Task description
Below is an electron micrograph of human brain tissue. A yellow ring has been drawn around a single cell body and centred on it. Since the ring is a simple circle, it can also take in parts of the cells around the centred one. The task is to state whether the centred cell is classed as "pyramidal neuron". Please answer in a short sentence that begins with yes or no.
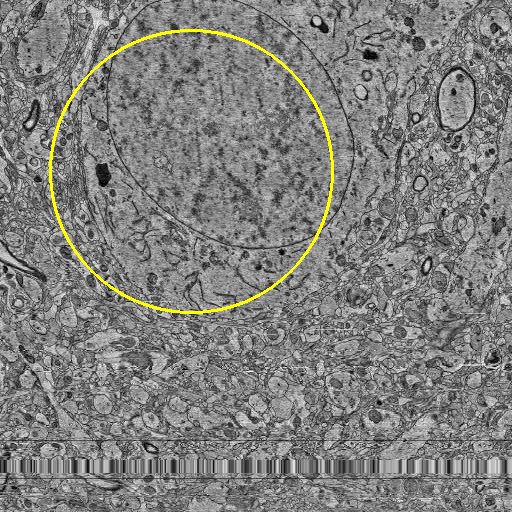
Yes, the centred cell is classed that way.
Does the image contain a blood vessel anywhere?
No.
